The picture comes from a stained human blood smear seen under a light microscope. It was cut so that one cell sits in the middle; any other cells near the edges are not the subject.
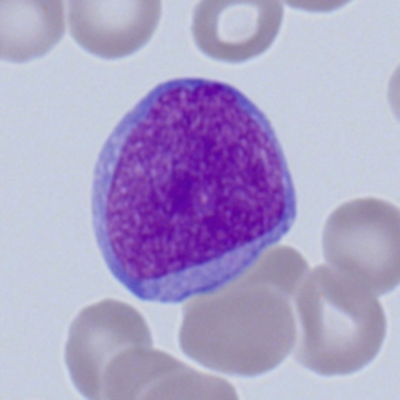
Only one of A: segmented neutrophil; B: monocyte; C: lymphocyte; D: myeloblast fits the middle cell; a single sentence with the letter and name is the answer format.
Option D gets it right: the cell in the middle is a myeloblast.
